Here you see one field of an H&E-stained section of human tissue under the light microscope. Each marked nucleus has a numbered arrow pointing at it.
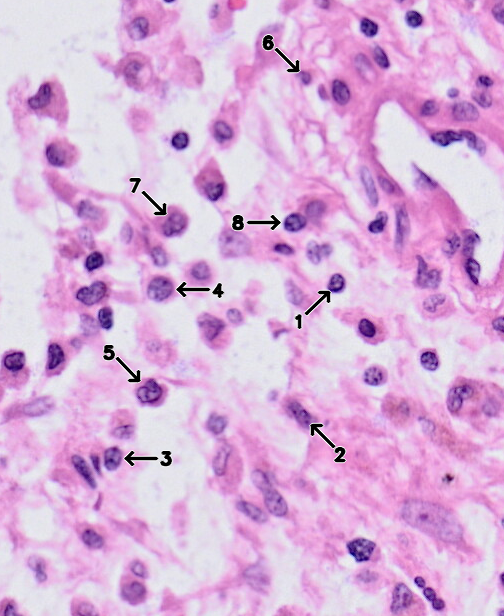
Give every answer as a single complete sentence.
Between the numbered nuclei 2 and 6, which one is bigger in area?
At about 2.5 times the area of nucleus 6, nucleus 2 is the larger of the two.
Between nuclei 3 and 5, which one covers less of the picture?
Number 3 is smaller, since number 5 takes up about 1.5 times as much area.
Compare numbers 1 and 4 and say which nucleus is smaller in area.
With nucleus 4 about 2 times its size, nucleus 1 is the smaller of the two.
